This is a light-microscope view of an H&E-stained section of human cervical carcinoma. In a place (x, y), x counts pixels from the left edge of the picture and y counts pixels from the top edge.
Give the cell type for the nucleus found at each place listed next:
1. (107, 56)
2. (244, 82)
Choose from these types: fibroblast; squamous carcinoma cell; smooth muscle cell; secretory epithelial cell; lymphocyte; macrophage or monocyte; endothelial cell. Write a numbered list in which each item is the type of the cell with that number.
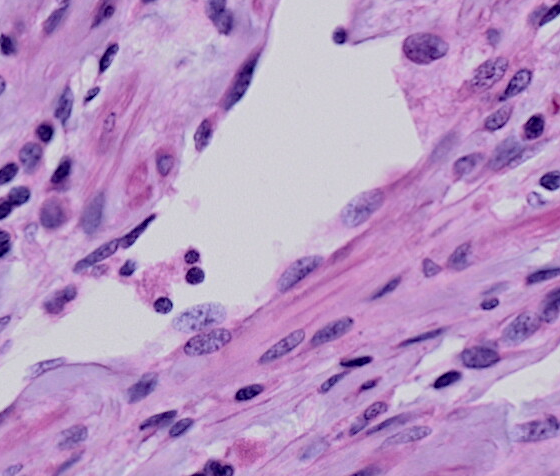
1. lymphocyte
2. endothelial cell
